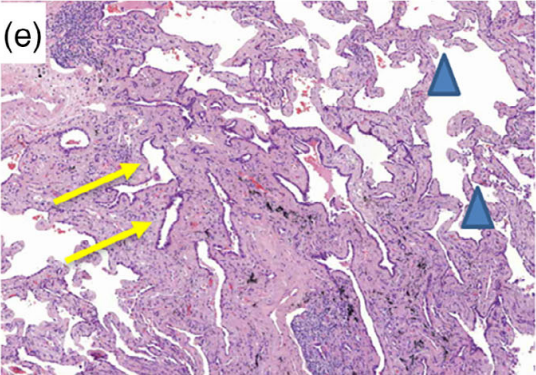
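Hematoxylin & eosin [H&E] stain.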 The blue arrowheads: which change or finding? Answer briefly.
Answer: lepidic pattern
